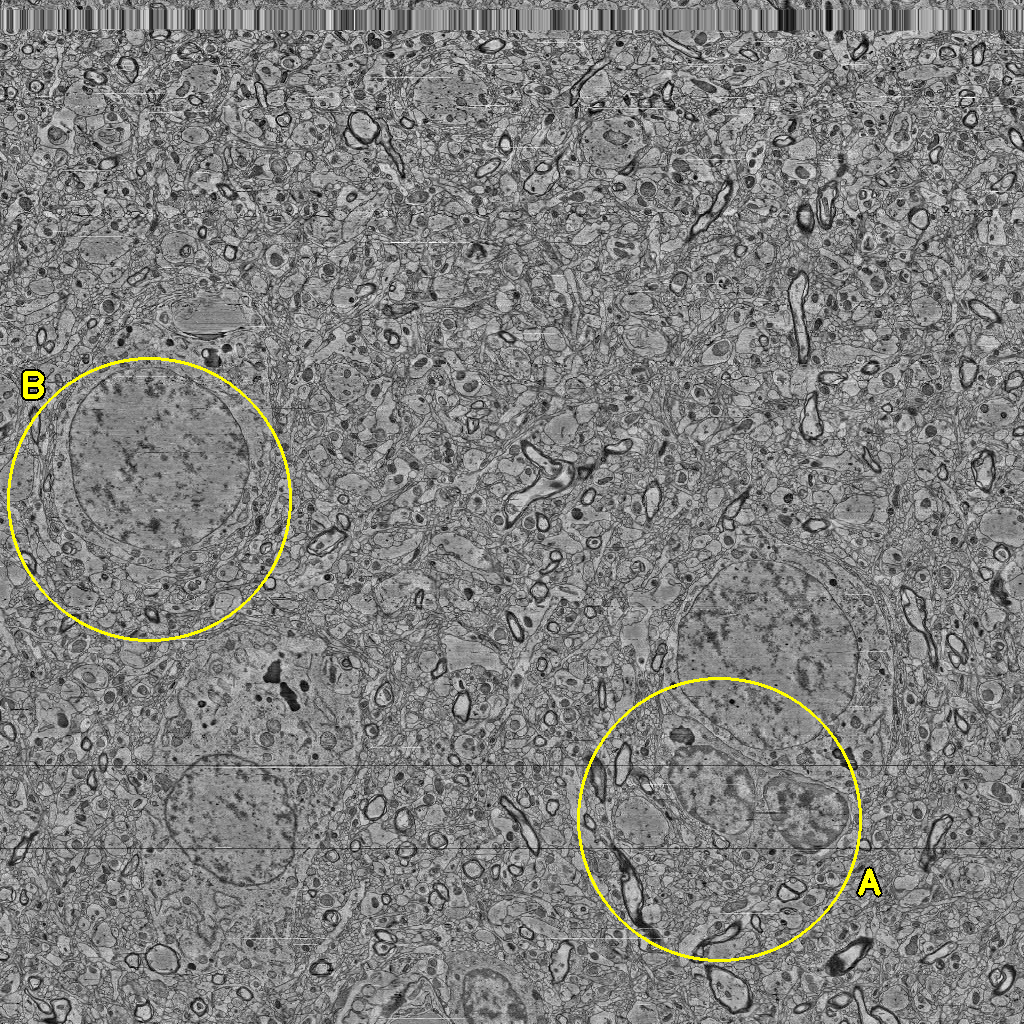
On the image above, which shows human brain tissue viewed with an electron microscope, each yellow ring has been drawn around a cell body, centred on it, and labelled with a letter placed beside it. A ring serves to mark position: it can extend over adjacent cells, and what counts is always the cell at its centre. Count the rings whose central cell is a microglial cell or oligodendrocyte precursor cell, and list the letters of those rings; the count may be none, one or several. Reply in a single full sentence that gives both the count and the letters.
Of all the yellow rings, not a single one is centred on a microglial cell or oligodendrocyte precursor cell, so the number is zero.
